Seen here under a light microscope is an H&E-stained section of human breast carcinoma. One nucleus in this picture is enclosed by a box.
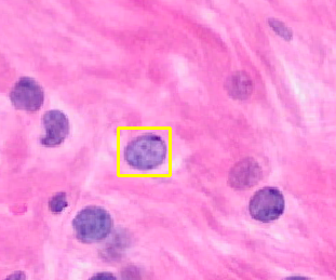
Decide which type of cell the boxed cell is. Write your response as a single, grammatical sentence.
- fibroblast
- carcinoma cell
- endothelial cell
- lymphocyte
In this tissue sample, the boxed cell is a carcinoma cell.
